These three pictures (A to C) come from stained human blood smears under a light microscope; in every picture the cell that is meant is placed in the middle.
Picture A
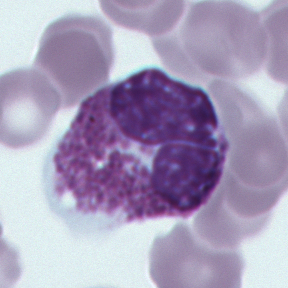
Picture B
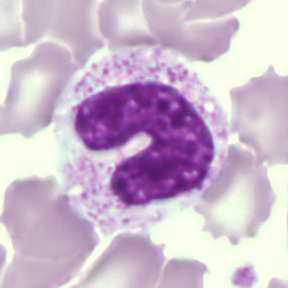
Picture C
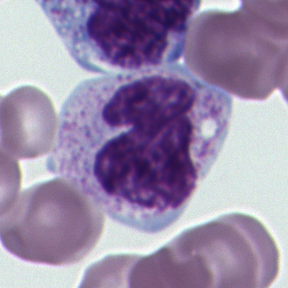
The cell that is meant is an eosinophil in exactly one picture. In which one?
A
